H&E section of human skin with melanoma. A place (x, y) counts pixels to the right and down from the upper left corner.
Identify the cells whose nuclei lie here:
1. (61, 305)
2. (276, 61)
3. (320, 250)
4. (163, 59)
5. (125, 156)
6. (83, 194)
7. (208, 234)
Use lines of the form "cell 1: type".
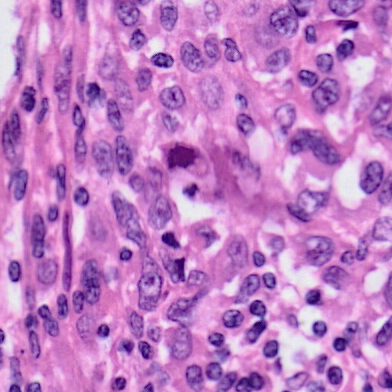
cell 1: lymphocyte
cell 2: melanoma cell
cell 3: melanoma cell
cell 4: lymphocyte
cell 5: melanoma cell
cell 6: lymphocyte
cell 7: melanoma cell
